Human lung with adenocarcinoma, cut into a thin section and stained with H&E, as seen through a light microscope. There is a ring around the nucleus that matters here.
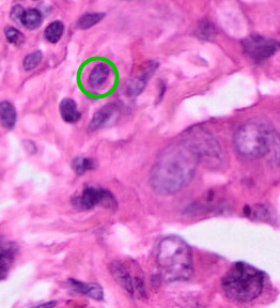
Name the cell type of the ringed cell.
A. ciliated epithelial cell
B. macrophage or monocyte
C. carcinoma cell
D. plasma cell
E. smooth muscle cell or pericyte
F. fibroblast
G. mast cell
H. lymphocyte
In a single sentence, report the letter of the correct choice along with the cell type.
In the section, the ringed cell is a mast cell, and option G is correct accordingly.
